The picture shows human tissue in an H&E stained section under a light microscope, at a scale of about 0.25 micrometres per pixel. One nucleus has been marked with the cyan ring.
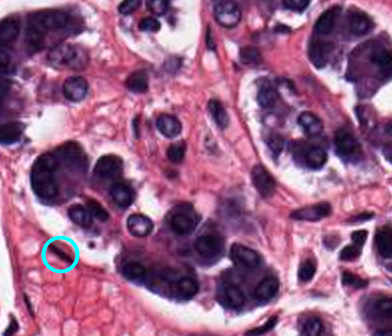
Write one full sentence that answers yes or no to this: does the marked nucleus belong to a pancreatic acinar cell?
No, it is not a pancreatic acinar cell but a supporting cell to which the marked nucleus is assigned.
